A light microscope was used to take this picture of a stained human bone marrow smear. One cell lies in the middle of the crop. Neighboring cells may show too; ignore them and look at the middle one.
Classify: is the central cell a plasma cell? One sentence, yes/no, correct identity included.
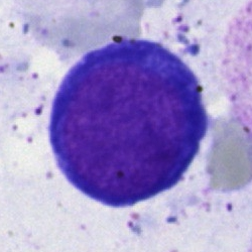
No, the middle cell is not a plasma cell, it being a proerythroblast.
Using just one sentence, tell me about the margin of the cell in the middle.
Smooth all around, the outline has no projections to report.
